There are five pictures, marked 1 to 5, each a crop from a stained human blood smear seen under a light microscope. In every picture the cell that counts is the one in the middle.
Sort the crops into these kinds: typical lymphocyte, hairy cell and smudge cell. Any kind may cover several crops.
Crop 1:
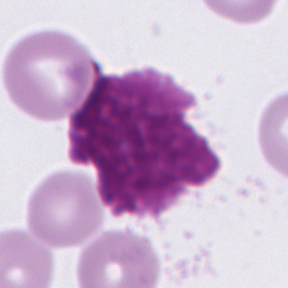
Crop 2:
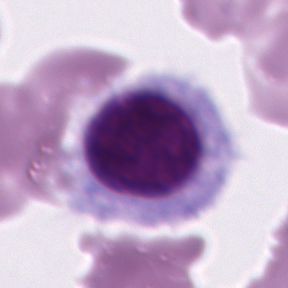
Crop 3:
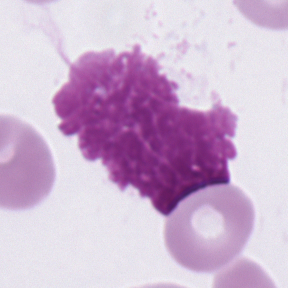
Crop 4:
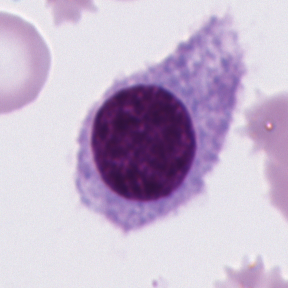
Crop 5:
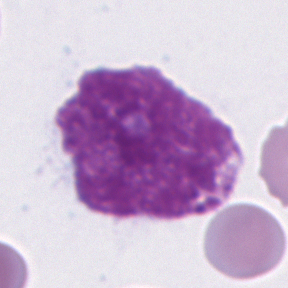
1: smudge cell
2: hairy cell
3: smudge cell
4: hairy cell
5: smudge cell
